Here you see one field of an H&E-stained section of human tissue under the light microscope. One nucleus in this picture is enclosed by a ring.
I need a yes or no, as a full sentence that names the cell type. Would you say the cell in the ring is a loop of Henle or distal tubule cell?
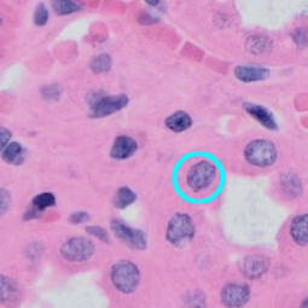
Yes, the cell in the ring is rightly regarded as a loop of Henle or distal tubule cell.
